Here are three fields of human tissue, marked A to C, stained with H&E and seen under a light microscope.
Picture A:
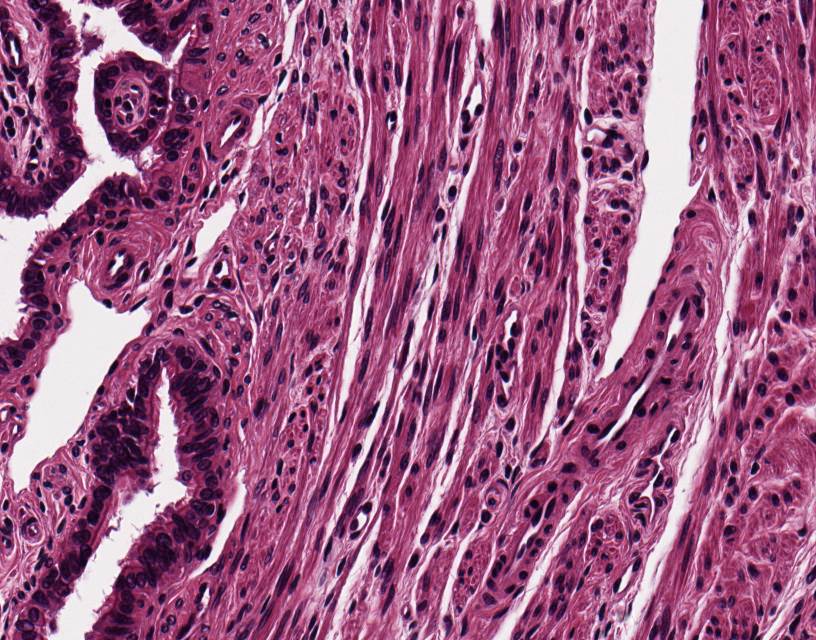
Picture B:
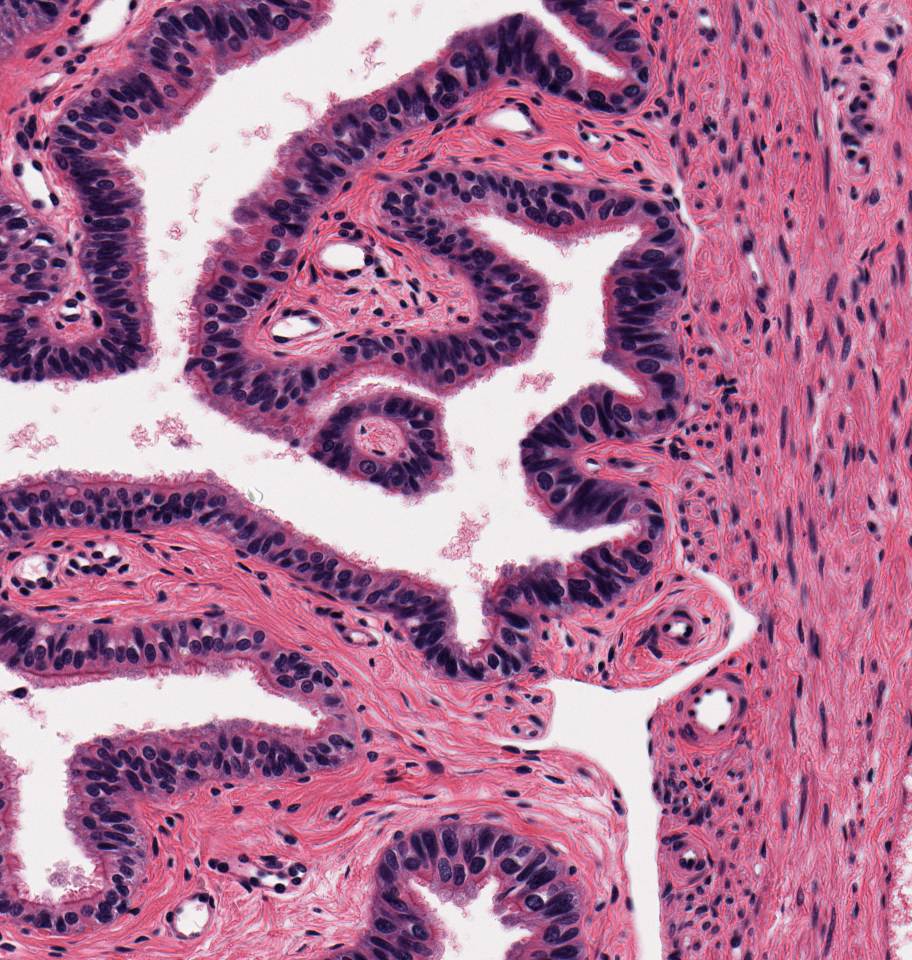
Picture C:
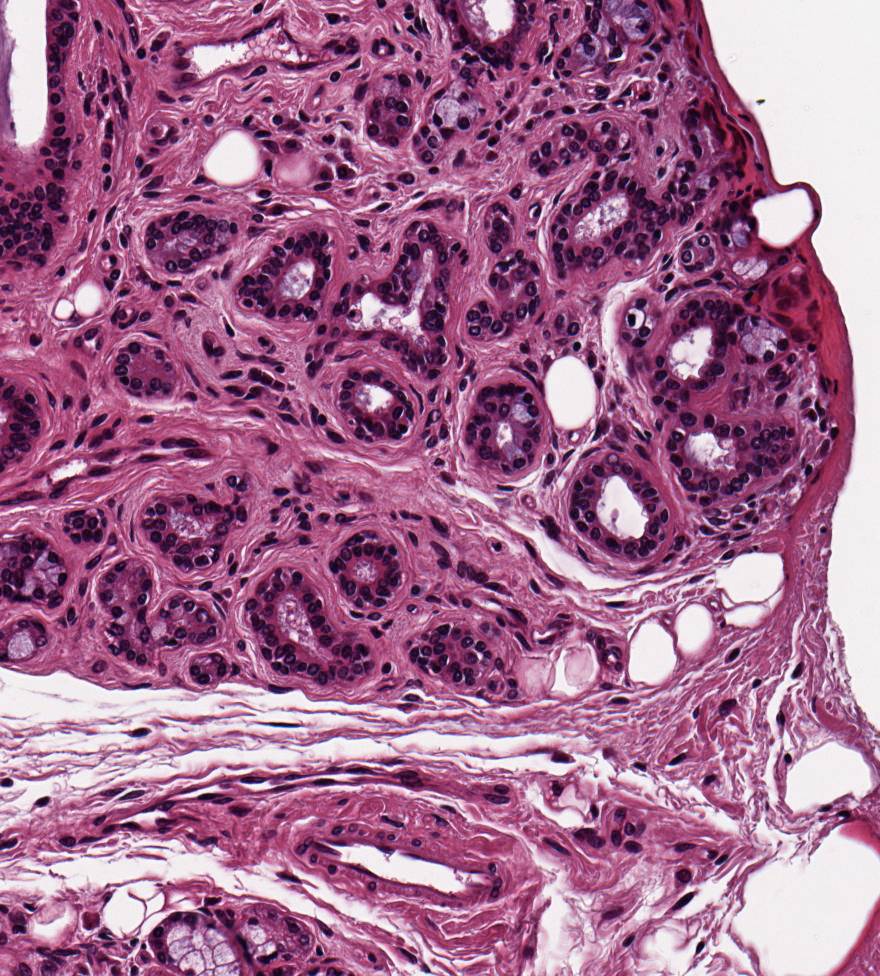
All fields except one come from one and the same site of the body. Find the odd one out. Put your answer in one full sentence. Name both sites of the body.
Unlike the rest, which come from the fallopian tube, picture C comes from a minor salivary gland.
